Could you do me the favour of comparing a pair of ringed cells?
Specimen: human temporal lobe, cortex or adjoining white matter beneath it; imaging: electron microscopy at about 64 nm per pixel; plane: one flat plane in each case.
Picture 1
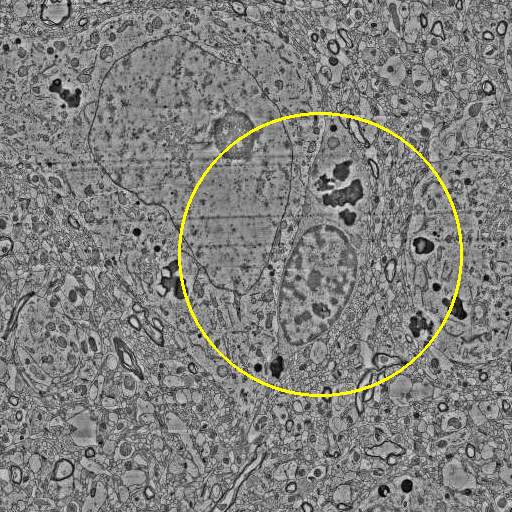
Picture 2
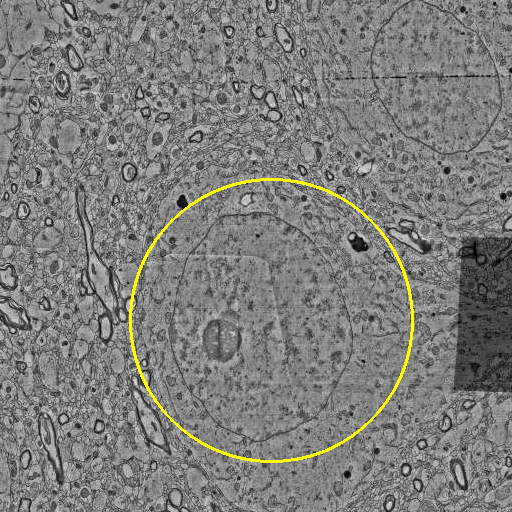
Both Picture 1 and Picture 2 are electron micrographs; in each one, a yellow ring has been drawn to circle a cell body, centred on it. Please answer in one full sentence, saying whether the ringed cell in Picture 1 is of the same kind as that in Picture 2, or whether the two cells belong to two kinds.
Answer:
The ringed cells in Picture 1 and Picture 2 belong to two kinds.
